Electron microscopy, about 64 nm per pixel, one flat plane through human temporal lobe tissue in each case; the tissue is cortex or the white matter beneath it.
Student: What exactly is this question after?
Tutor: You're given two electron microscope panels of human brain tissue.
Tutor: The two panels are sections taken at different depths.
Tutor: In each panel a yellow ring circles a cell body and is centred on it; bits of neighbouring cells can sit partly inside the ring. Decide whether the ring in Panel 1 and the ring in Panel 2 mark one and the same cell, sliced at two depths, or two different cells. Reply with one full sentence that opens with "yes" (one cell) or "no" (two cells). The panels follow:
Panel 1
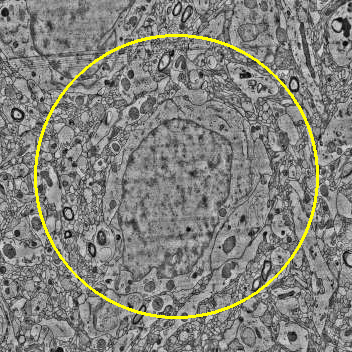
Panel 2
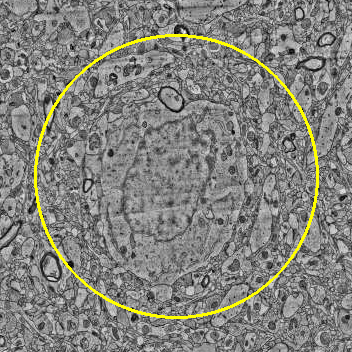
No, a different cell sits inside each of the two rings.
